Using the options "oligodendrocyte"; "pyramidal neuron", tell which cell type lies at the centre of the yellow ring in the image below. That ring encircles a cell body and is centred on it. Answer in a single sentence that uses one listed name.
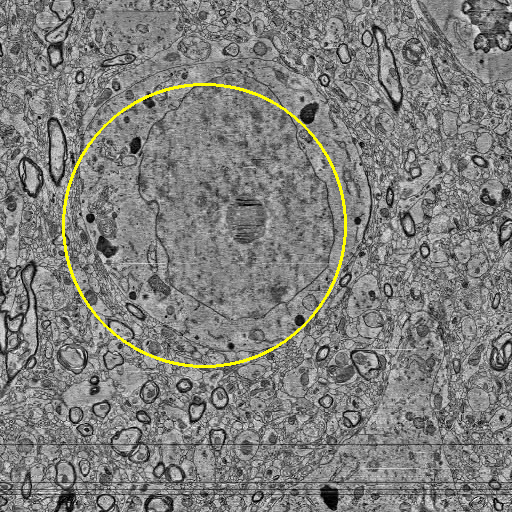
At the centre of the yellow ring lies the body of a pyramidal neuron.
